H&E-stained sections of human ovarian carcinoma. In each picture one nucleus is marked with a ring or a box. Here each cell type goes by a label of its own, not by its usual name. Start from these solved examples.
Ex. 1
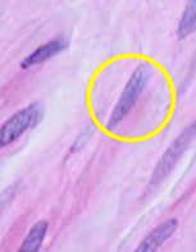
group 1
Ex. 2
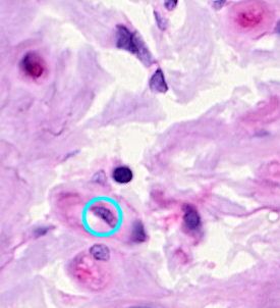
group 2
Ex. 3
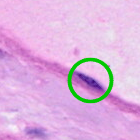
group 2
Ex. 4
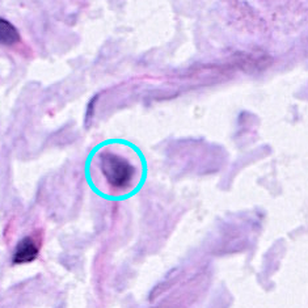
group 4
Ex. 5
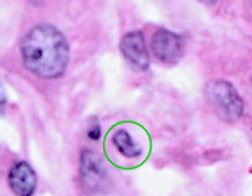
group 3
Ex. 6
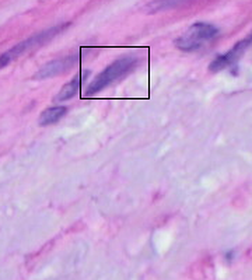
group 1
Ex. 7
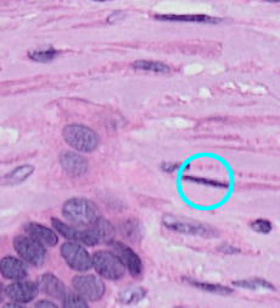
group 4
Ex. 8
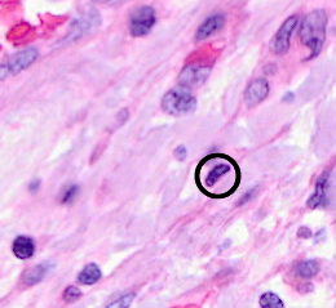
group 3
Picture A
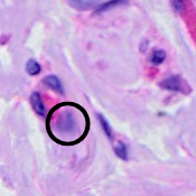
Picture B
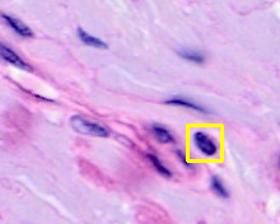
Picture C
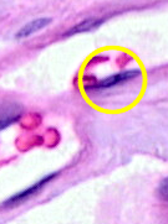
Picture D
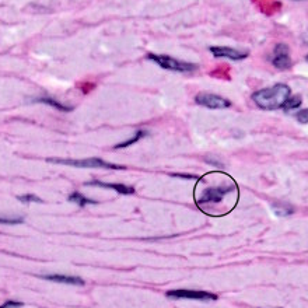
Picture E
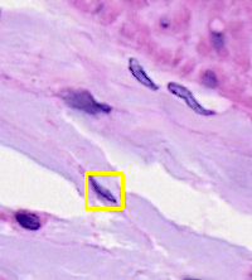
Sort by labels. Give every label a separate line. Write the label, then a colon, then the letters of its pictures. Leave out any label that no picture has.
group 2: A, C
group 4: D, E
group 3: B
